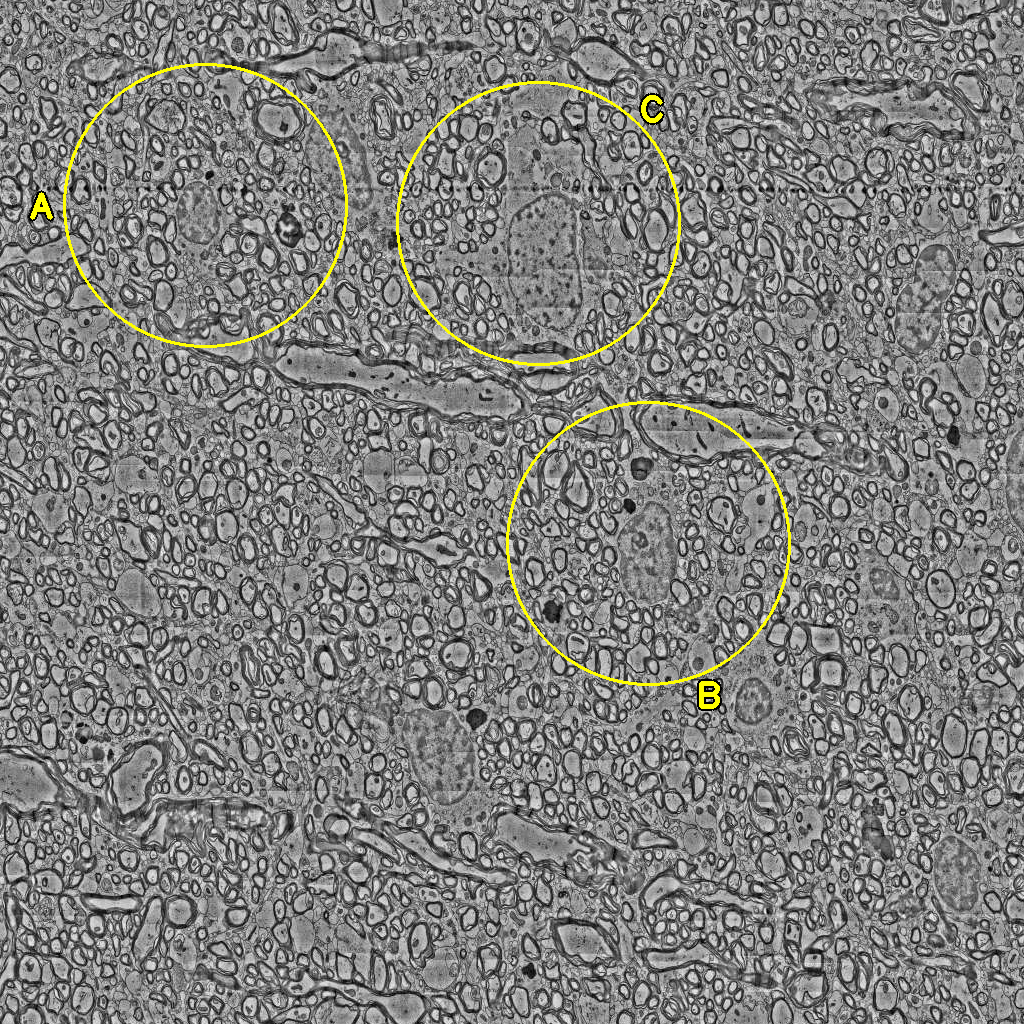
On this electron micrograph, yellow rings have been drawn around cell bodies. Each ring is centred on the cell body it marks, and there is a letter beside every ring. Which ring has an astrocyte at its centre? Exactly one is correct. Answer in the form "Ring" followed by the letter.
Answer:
Ring C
